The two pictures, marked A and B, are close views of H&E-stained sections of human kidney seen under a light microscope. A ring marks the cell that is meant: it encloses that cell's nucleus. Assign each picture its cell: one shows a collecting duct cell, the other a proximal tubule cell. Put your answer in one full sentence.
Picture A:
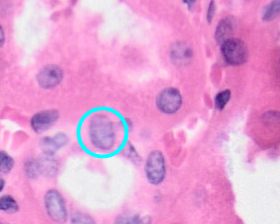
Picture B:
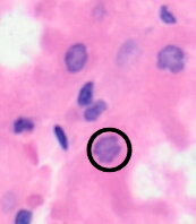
Picture A is of a collecting duct cell, and picture B is of a proximal tubule cell.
